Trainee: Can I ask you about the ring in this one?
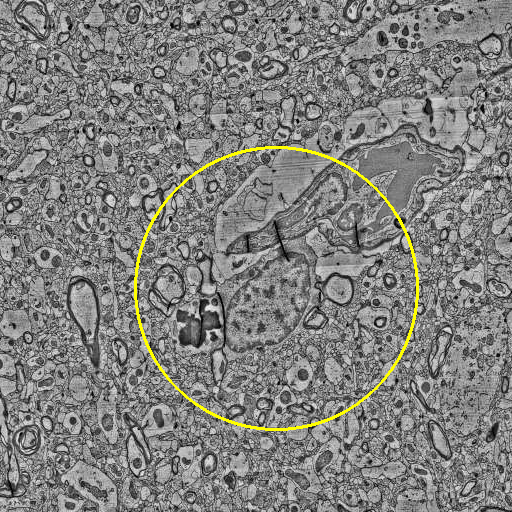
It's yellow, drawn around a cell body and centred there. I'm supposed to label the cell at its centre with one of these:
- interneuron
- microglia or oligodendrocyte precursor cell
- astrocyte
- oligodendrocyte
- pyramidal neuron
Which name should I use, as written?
oligodendrocyte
